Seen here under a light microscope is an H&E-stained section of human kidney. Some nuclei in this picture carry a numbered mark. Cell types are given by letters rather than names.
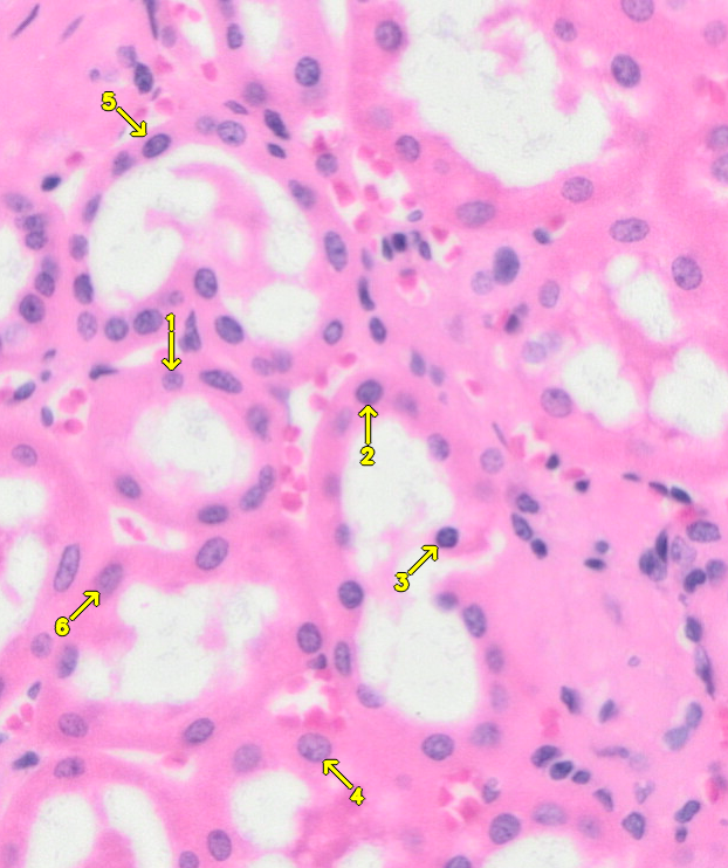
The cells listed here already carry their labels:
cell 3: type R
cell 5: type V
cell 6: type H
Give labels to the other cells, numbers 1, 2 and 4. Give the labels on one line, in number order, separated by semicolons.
type V; type V; type H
